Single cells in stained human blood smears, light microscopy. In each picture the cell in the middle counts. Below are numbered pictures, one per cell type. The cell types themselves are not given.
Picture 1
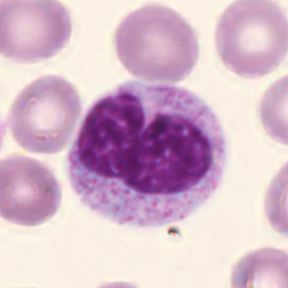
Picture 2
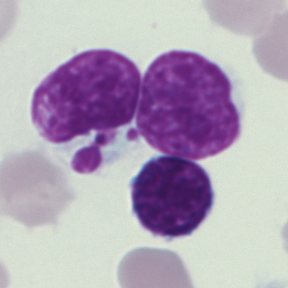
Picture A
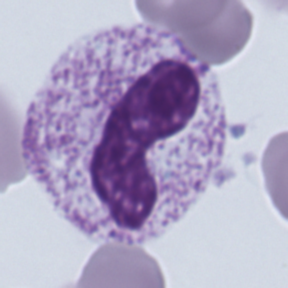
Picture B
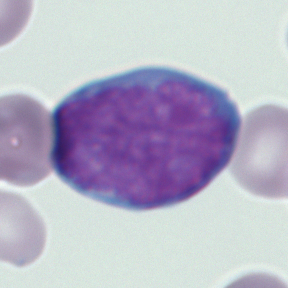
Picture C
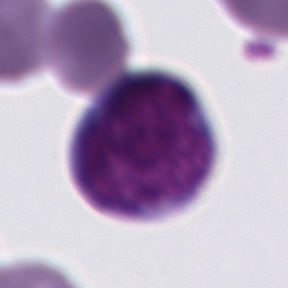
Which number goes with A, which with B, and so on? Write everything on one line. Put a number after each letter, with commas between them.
A 1, B 2, C 2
